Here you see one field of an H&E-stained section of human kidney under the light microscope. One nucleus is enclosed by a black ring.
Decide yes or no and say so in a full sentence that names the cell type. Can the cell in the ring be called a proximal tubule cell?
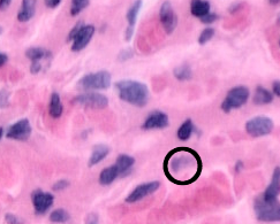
No, as classified here, the cell in the ring is an endothelial cell and not a proximal tubule cell.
